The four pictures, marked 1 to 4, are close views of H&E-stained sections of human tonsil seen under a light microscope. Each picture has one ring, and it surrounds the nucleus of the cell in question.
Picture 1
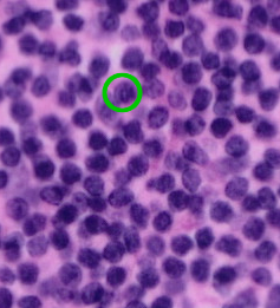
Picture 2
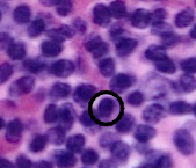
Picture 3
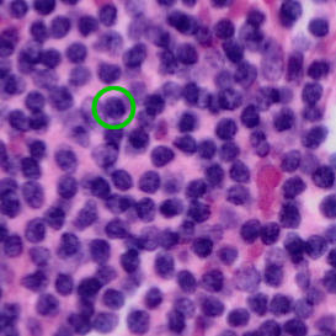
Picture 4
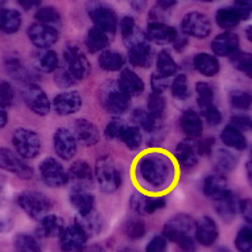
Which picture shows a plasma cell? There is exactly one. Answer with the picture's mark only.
4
